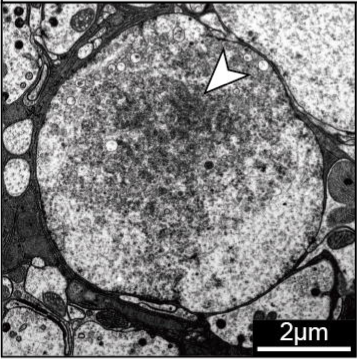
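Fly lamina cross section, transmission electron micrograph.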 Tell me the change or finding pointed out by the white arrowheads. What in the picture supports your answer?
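A large round profile fills much of the image. The arrowhead points to a darker, granular patch within its paler interior. So: Dense materials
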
